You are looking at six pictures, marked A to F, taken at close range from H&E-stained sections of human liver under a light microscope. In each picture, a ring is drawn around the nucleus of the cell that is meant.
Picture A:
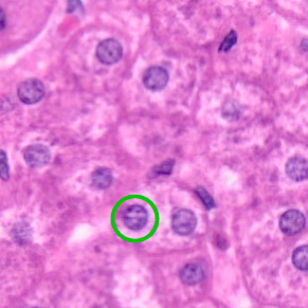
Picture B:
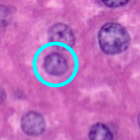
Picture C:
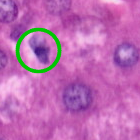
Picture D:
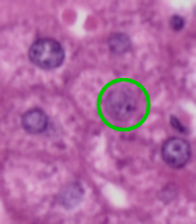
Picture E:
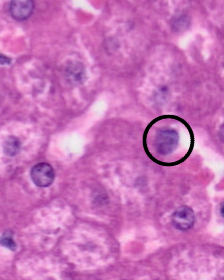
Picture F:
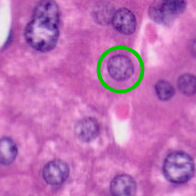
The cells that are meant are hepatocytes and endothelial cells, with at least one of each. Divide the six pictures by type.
A: hepatocyte
B: hepatocyte
C: endothelial cell
D: hepatocyte
E: endothelial cell
F: hepatocyte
